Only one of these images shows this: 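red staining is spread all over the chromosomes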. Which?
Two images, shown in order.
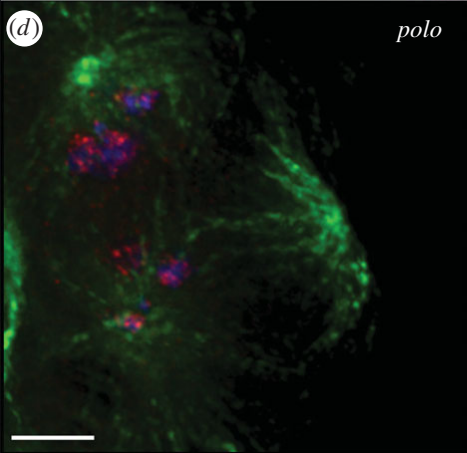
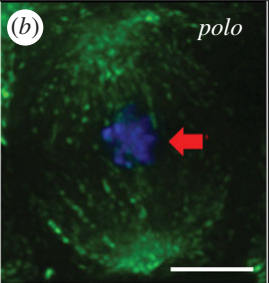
The first image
